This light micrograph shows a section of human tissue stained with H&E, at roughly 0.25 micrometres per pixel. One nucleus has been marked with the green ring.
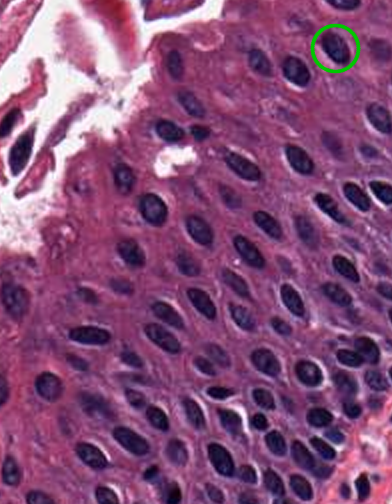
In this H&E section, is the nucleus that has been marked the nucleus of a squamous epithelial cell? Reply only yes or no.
yes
